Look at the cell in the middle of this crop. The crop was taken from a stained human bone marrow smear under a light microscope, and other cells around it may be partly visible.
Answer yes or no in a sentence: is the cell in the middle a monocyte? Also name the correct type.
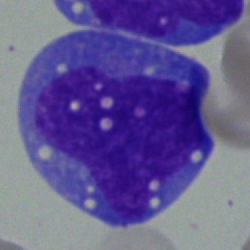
Yes, the cell found in the middle is a monocyte.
